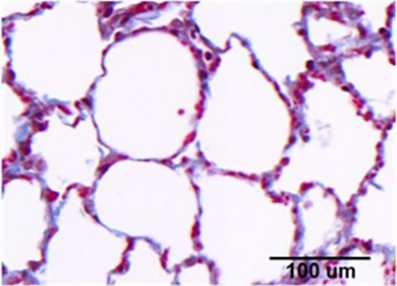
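Lung parenchyma made up of large, open, rounded alveolar spaces. The alveolar walls are thin, mostly one or two cells across. Red-purple nuclei lie along the walls, often at the junctions of several septa. Only faint blue stain lines the septa.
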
